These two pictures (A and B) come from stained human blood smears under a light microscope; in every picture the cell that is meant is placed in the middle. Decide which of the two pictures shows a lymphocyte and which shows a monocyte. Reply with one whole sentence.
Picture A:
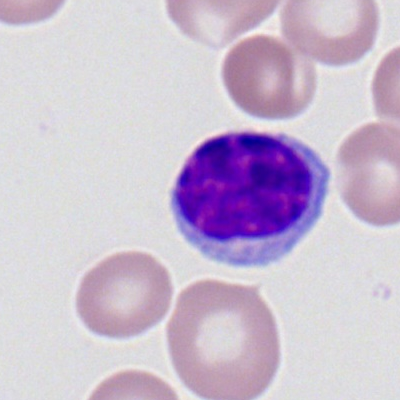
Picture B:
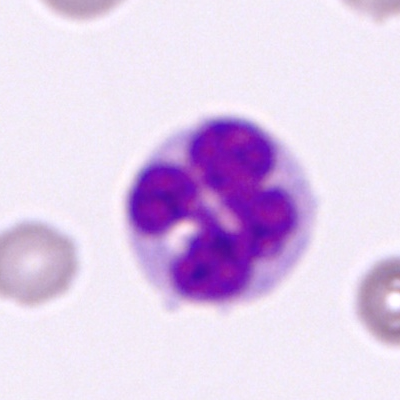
Picture A is of a lymphocyte, and picture B is of a monocyte.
